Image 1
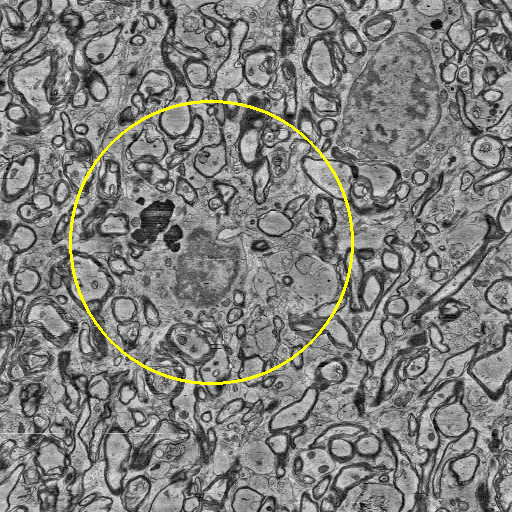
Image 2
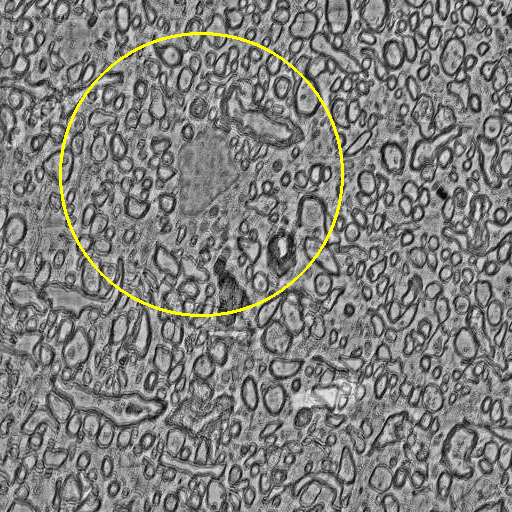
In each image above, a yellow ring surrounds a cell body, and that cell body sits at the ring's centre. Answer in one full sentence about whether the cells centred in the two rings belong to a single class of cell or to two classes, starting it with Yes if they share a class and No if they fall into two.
Yes, the cells centred in the two yellow rings belong to a single class of cell.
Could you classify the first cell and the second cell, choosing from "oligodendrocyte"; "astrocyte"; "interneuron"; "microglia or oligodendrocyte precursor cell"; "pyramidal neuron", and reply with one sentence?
In the first picture and in the second, the ring is centred on an oligodendrocyte.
